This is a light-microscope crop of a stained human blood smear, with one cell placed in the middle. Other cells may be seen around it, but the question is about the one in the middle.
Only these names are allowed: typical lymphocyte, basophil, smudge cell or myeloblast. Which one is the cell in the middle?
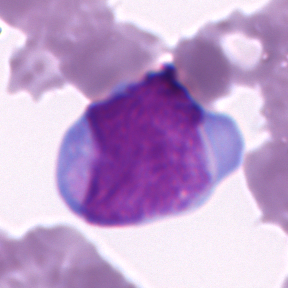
myeloblast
